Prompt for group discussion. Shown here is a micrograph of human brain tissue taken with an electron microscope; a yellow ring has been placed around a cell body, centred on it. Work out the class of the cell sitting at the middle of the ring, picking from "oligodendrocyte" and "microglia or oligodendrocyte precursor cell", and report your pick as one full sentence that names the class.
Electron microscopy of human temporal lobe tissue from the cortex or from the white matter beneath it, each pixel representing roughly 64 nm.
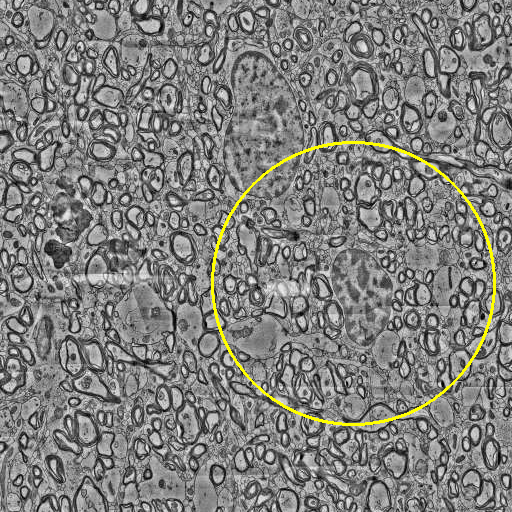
The cell sitting at the middle of the yellow ring is a microglial cell or oligodendrocyte precursor cell.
